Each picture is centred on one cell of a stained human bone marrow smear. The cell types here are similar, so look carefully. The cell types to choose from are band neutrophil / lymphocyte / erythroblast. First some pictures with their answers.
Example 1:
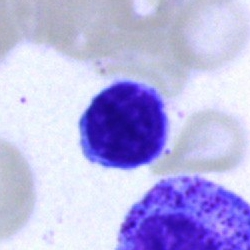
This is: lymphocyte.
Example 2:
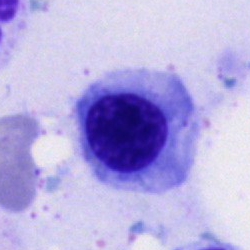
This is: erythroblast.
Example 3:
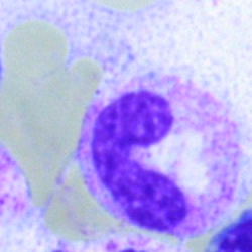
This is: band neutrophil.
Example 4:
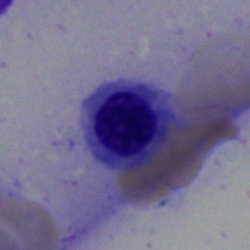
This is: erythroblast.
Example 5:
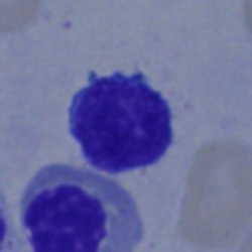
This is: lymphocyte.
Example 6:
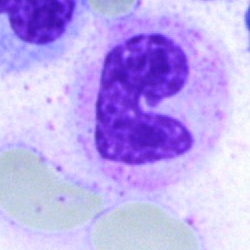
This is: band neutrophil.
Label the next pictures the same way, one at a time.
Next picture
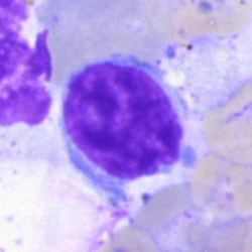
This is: lymphocyte.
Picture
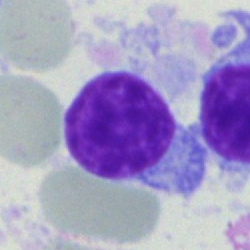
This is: lymphocyte.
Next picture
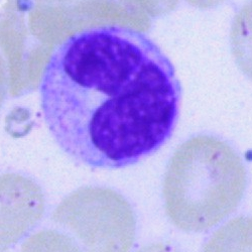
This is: band neutrophil.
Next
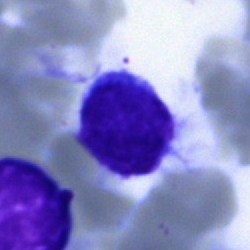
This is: lymphocyte.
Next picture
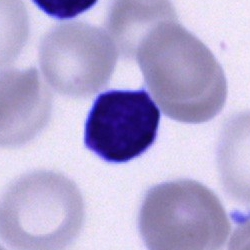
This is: lymphocyte.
